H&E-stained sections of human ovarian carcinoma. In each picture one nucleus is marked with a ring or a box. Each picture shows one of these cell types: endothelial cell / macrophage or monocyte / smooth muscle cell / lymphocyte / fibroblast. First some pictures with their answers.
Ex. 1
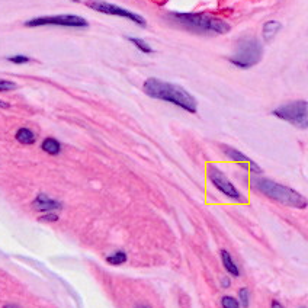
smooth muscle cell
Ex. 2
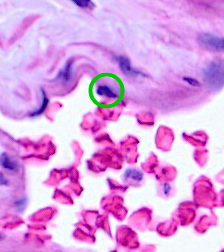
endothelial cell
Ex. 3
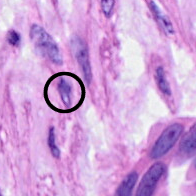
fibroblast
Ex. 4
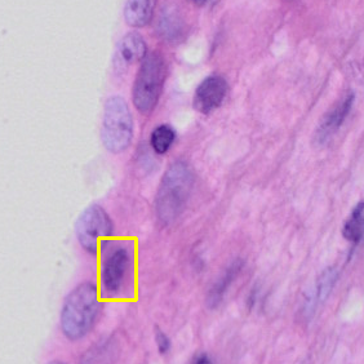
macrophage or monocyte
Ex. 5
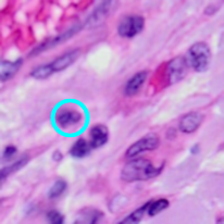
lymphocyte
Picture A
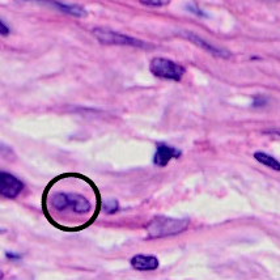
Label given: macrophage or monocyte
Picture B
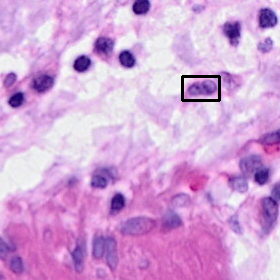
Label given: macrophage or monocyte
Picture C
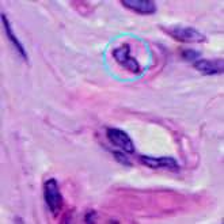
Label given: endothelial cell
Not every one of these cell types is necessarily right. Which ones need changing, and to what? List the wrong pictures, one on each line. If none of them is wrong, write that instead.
All labels are correct.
